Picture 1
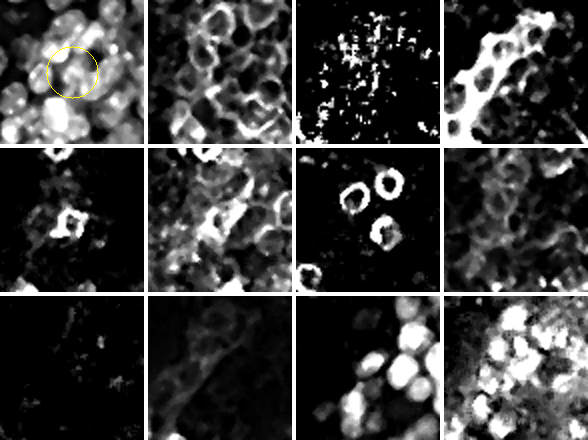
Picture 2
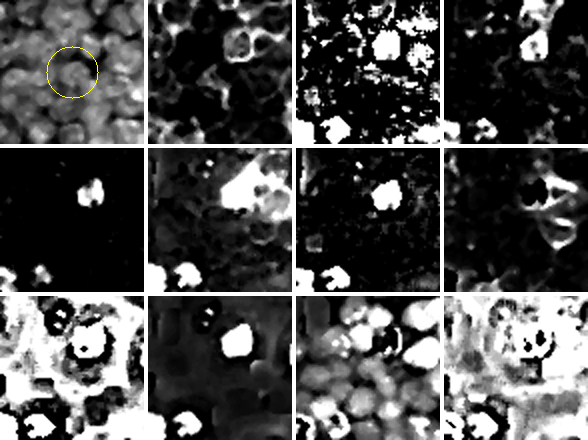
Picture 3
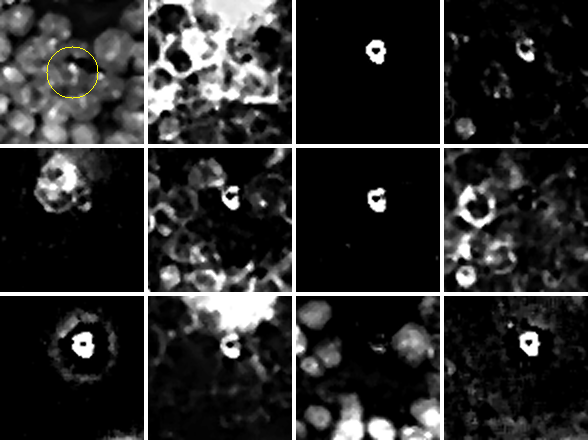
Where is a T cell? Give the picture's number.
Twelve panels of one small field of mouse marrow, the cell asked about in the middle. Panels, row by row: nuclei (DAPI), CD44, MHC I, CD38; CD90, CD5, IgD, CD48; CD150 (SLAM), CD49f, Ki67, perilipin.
1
